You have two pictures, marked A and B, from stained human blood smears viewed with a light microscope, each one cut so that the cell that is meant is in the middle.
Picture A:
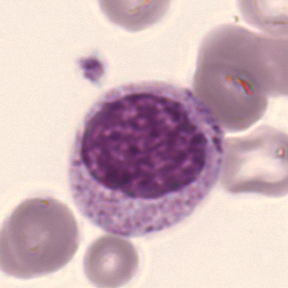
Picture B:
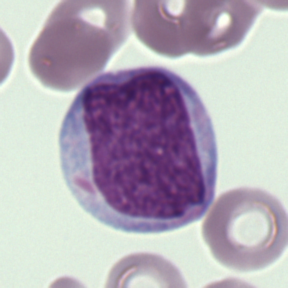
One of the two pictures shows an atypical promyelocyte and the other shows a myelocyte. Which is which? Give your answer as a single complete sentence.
In picture A the cell is a myelocyte; in picture B, an atypical promyelocyte.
